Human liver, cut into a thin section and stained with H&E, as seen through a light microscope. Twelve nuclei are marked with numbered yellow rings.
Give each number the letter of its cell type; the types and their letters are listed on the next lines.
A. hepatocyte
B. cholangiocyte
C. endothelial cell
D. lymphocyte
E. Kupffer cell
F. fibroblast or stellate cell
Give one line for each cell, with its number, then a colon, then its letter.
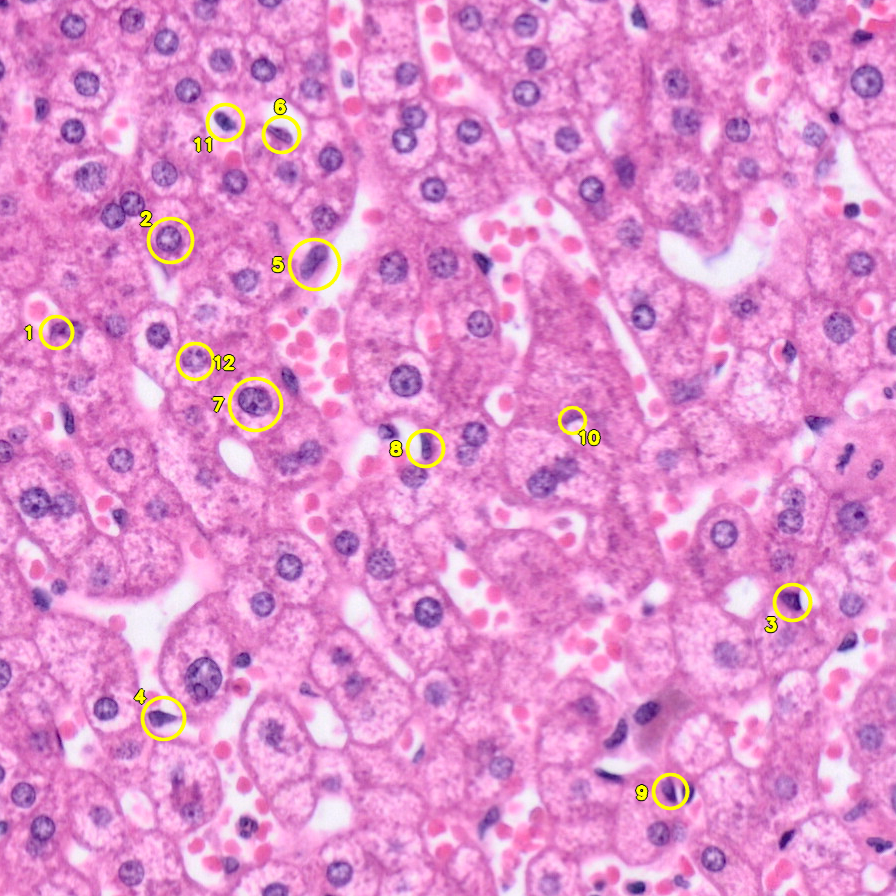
1: E
2: A
3: F
4: E
5: E
6: E
7: A
8: C
9: F
10: C
11: D
12: A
